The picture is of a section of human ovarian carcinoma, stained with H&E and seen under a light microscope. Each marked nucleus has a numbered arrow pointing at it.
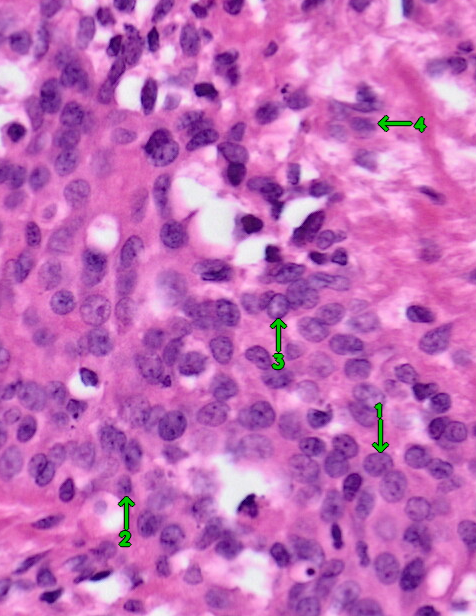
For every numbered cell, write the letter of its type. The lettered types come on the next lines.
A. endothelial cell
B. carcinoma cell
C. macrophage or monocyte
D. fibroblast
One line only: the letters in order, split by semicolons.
B; B; B; A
